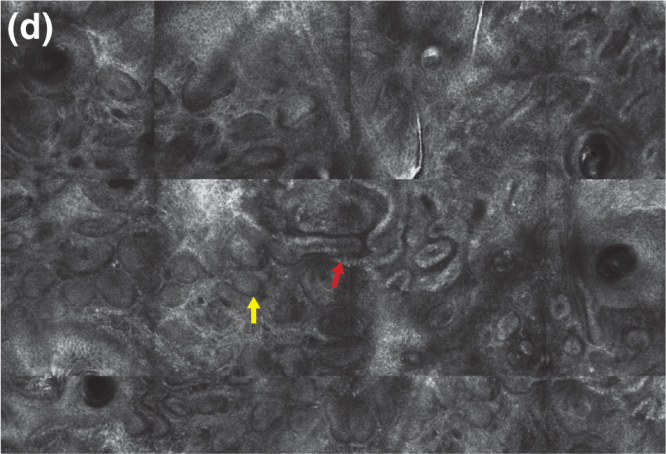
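Reflectance confocal mosaic of skin at the dermo epidermal junction, seen en face in shades of grey. Numerous dark oval and rounded ring-like papillae are outlined by bright rims, many clustered so that their contours form lobulated, scalloped, polycyclic outlines, and some appear swollen into rounded, bulbous shapes. Between them lies a finely granular grey background of epidermal tissue. Several dark round openings with bright borders, likely follicular openings, are seen toward the right, and a bright thin linear structure crosses the upper middle. The mosaic is assembled from square tiles with visible seams.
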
